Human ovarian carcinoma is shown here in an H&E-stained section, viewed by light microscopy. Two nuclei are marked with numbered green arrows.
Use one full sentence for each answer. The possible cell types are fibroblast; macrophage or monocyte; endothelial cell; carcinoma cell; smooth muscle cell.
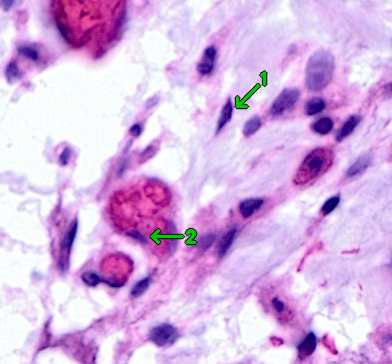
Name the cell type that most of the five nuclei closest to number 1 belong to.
Of the five nuclei nearest to number 1, most belong to macrophages or monocytes.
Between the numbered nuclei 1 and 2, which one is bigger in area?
Number 1 is larger; its area is about 1.5 times that of number 2.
